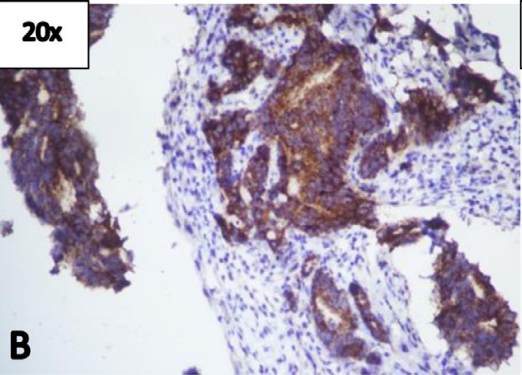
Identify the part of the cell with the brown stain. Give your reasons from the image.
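Brown colour fills the cell bodies of the clustered tumor cells. Blue nuclei remain visible within the brown-stained clusters. The surrounding loose stroma with scattered blue nuclei is unstained. On this evidence: tumor cell cytoplasm.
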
